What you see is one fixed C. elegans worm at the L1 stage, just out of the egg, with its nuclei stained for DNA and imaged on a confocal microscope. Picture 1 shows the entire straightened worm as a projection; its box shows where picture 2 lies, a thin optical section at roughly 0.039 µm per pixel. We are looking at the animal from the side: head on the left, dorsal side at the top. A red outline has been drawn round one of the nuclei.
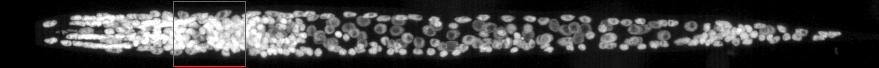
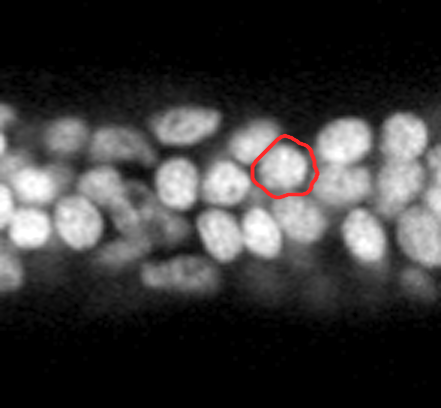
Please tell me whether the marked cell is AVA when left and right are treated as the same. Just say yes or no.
no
